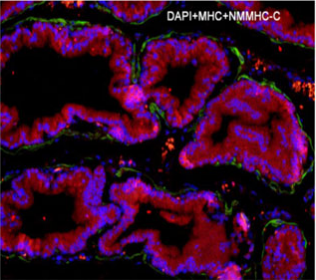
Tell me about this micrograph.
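The lining cells fill with red throughout their cytoplasm, and their blue nuclei lie within the lining, giving a purplish tone where the two colours overlap. Narrow green bands run along the outside of each gland, separating neighbouring glands.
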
